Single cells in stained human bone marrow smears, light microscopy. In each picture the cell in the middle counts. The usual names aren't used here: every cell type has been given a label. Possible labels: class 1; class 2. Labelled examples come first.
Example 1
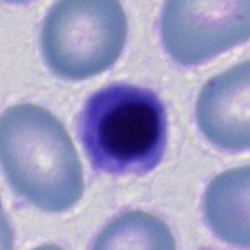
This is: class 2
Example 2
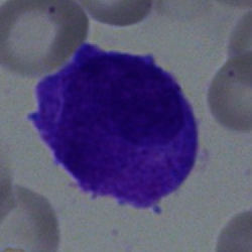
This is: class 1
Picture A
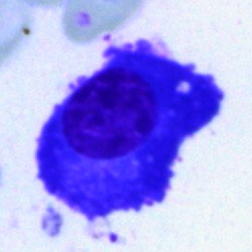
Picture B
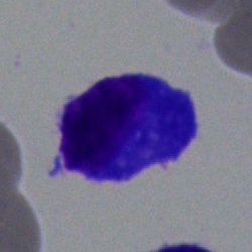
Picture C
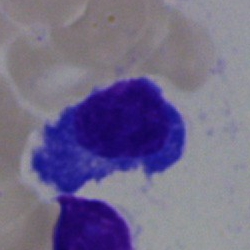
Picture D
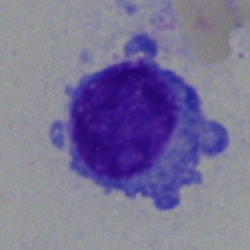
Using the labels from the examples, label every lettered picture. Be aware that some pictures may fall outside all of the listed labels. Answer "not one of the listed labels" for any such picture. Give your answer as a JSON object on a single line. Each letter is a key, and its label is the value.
{"A": "not one of the listed labels", "B": "not one of the listed labels", "C": "not one of the listed labels", "D": "not one of the listed labels"}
